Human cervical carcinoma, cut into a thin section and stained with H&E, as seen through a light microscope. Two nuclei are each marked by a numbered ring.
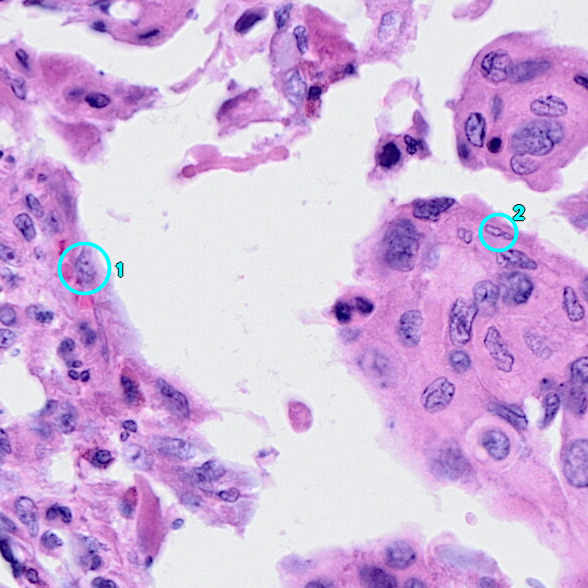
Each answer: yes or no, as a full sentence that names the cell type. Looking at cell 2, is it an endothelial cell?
No, cell 2 should be classed as a squamous carcinoma cell, not as an endothelial cell.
